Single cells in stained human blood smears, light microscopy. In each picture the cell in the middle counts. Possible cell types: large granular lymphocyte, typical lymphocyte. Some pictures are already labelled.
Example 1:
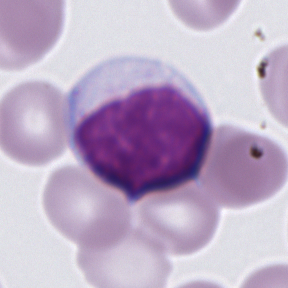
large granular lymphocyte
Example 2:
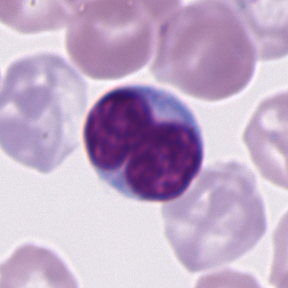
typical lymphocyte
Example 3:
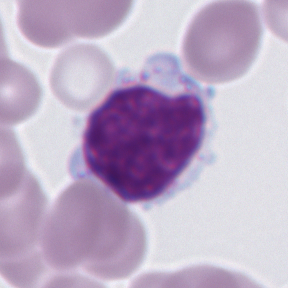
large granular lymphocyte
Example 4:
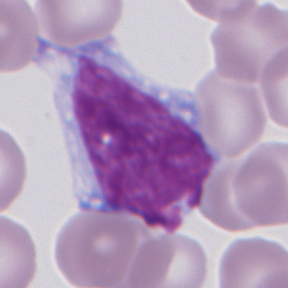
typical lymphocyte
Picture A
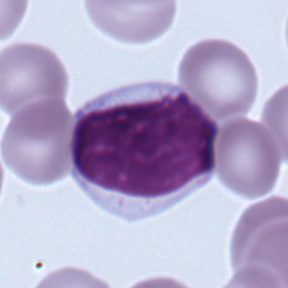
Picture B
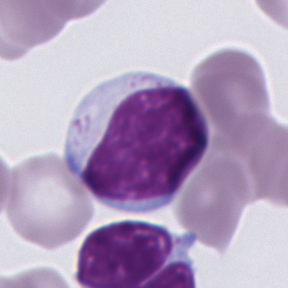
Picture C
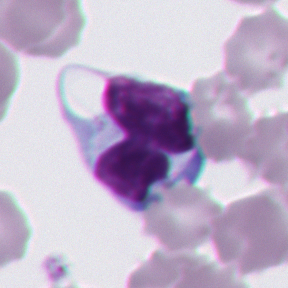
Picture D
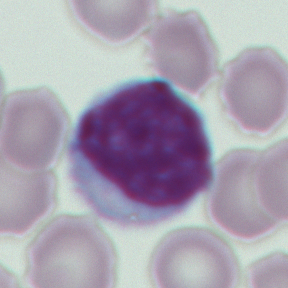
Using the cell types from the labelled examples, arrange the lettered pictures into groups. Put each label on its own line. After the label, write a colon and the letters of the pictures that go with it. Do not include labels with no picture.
large granular lymphocyte: A, B
typical lymphocyte: C, D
